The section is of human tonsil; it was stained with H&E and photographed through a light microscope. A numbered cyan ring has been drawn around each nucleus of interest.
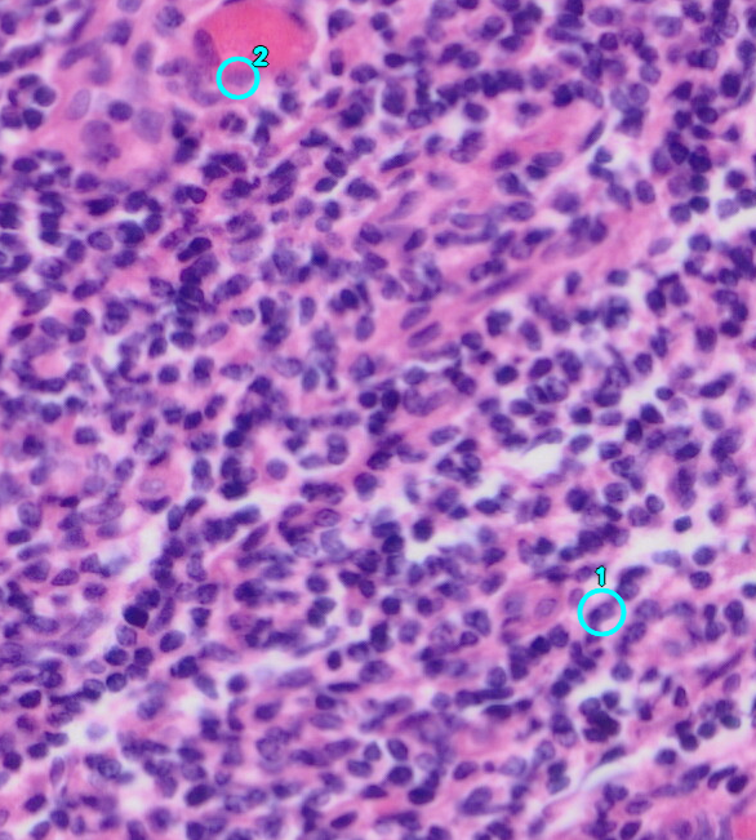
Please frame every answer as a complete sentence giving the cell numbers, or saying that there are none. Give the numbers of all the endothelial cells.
None but cell 2 among the numbered cells is an endothelial cell.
